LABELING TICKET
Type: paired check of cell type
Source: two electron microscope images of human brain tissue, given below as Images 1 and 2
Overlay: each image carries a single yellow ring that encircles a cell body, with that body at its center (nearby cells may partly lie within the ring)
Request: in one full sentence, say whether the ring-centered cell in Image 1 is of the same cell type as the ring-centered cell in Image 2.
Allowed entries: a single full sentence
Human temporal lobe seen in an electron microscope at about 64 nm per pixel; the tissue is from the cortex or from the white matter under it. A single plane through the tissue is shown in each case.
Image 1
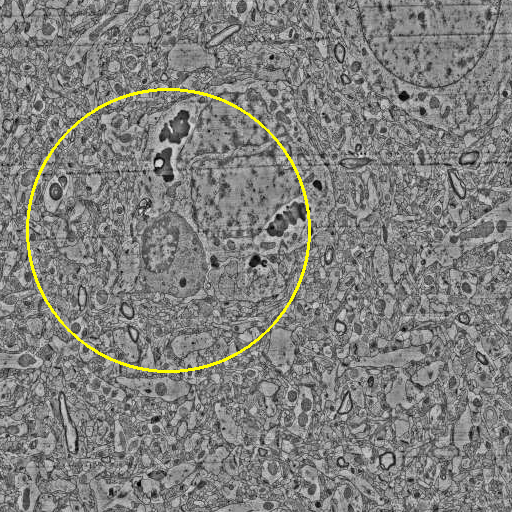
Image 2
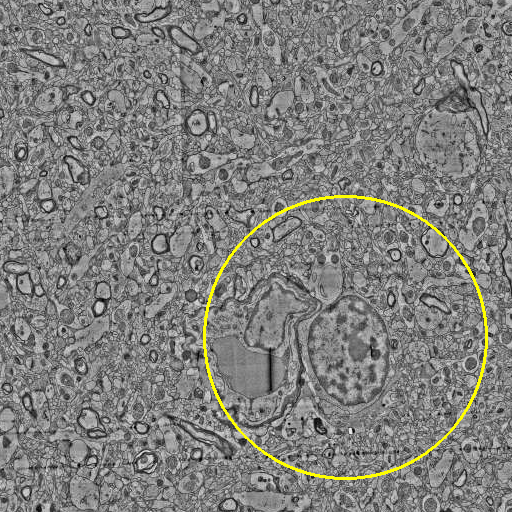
Yes, the cells centered in the rings of Image 1 and Image 2 share one type.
